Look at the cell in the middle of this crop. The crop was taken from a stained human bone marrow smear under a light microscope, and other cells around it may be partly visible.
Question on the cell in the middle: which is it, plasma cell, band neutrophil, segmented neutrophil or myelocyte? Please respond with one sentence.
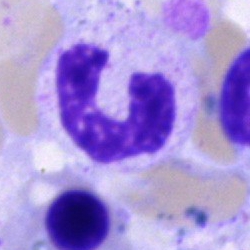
The centrally located cell in the crop is a band neutrophil.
